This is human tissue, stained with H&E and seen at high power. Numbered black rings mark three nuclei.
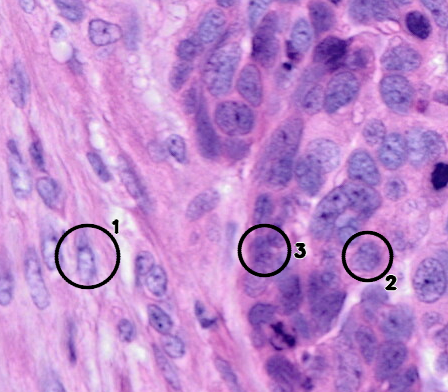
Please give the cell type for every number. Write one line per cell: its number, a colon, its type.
1: fibroblast
2: carcinoma cell
3: carcinoma cell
